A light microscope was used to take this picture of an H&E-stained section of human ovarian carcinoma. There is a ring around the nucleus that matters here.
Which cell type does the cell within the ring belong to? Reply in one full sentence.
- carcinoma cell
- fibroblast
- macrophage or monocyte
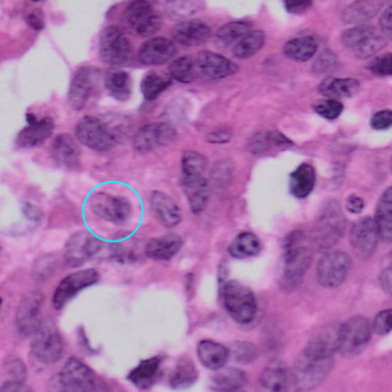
Cytologically, the cell within the ring is to be regarded as a macrophage or monocyte.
